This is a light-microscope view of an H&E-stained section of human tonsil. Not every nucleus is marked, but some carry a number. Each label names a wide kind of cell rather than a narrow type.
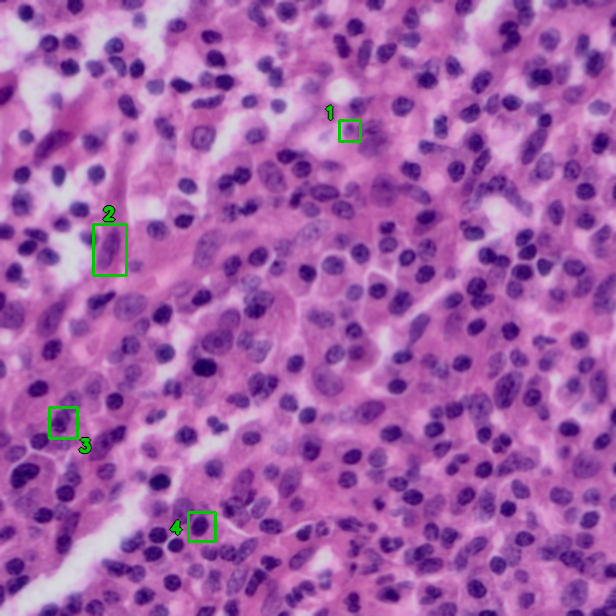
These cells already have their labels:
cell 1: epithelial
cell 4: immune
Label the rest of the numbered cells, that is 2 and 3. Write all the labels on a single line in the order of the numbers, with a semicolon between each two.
epithelial; immune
